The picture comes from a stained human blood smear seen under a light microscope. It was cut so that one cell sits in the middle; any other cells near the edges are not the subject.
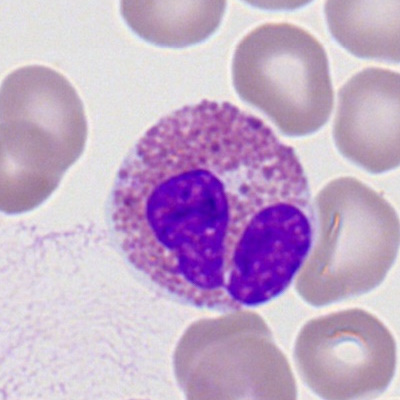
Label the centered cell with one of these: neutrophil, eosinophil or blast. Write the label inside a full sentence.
Standing at the centre of this crop is an eosinophil.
